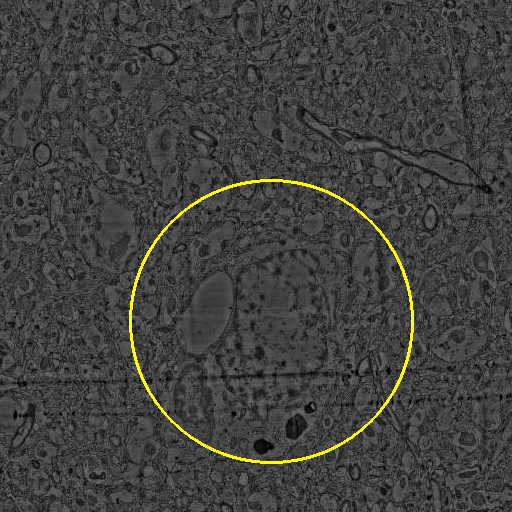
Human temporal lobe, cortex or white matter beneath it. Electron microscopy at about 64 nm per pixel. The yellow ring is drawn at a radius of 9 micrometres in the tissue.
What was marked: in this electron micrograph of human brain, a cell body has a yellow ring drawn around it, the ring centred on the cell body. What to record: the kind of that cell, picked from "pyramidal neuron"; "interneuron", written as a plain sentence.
The centred cell is an interneuron.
